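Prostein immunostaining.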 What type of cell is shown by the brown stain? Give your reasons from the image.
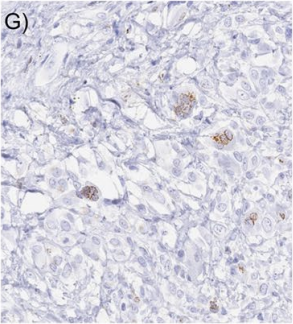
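A few scattered cells are much larger than the surrounding cells. These large cells carry brown granular staining while the surrounding cells are unstained. That points to this answer: giant cells.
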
